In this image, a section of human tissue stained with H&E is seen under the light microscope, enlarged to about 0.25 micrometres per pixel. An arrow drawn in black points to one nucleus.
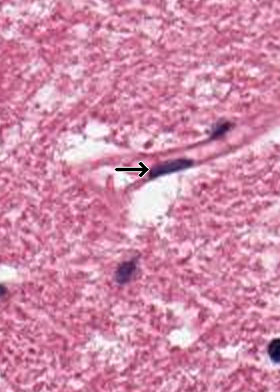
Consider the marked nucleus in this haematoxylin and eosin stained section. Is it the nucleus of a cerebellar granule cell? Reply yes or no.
no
